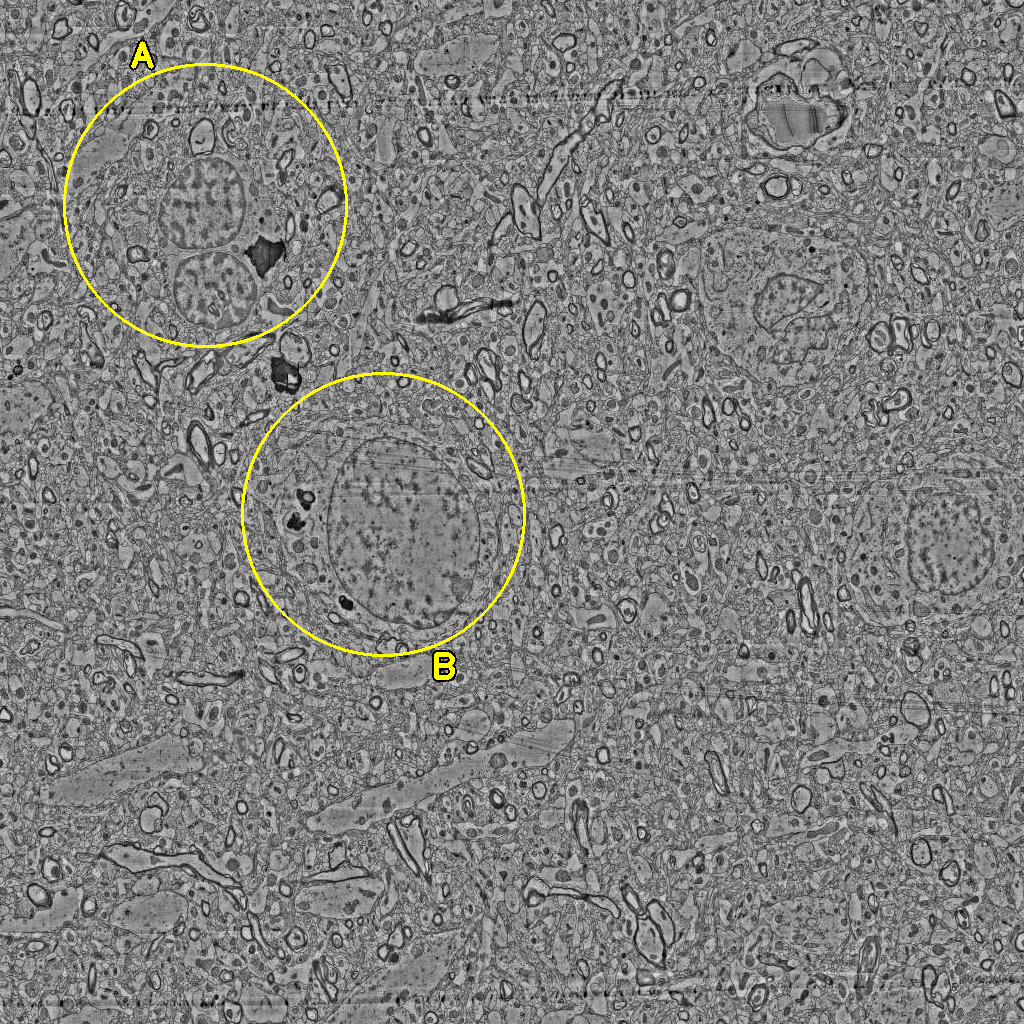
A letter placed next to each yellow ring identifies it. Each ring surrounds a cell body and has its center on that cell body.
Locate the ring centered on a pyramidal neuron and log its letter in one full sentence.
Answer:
Ring B has at its center the cell that the task asks for.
